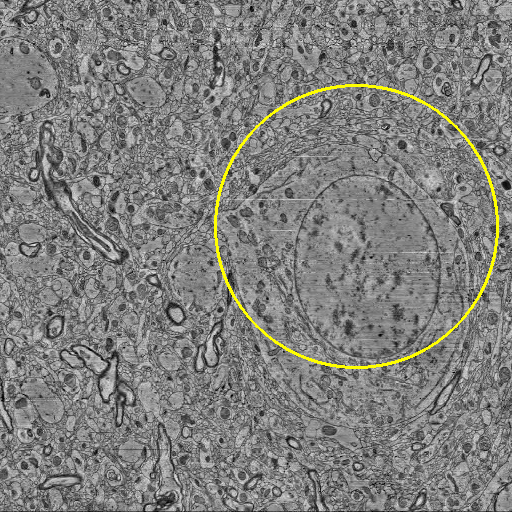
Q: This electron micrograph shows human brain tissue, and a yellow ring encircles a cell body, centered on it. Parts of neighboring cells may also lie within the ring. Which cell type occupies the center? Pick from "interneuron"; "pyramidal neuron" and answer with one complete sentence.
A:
What sits at the ring's center in this micrograph is a pyramidal neuron, among those choices.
